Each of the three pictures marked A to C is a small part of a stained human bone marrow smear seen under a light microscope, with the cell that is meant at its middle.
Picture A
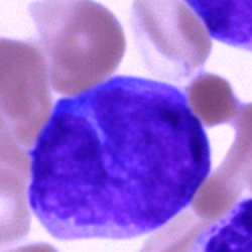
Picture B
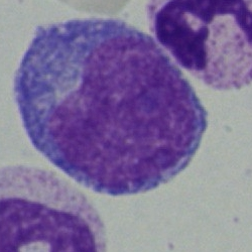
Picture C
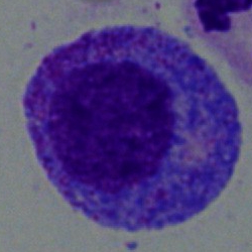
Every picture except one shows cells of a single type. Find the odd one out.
C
